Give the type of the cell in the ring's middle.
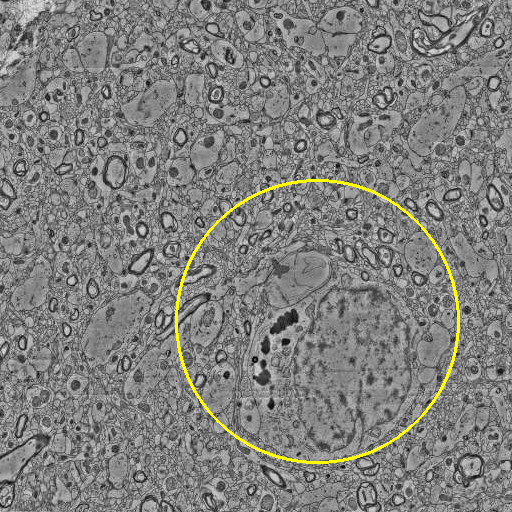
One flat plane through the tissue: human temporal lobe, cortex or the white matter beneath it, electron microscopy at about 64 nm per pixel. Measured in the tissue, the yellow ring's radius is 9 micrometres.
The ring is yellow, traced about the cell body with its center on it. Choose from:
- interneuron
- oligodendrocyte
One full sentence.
Here, an interneuron is the cell lying at the center of the yellow ring.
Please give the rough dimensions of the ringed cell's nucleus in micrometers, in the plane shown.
The nucleus appears roughly 11 by 8 micrometres in this plane.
